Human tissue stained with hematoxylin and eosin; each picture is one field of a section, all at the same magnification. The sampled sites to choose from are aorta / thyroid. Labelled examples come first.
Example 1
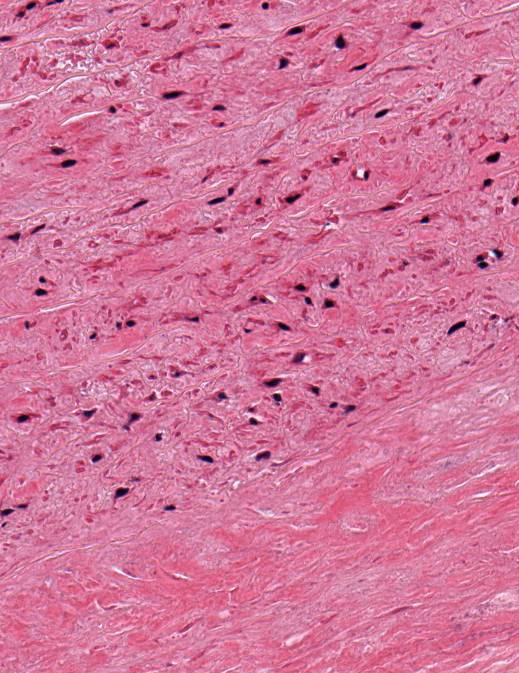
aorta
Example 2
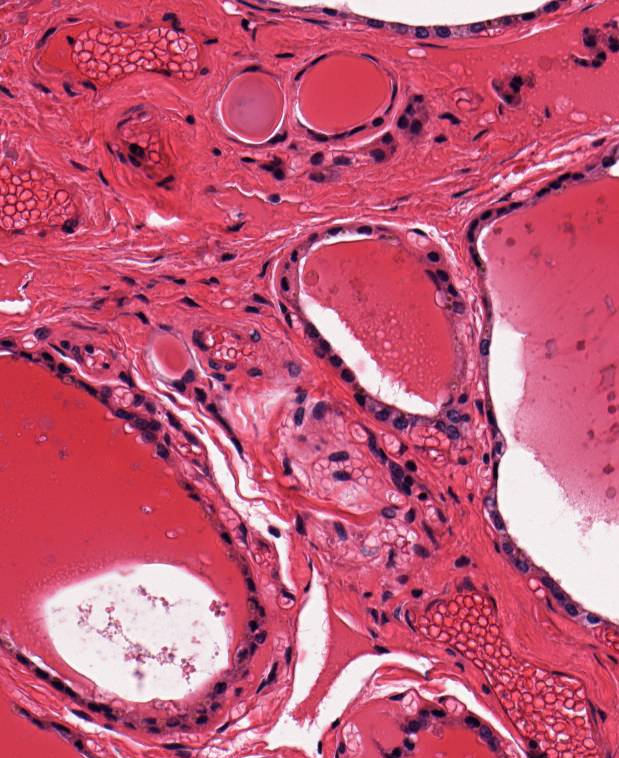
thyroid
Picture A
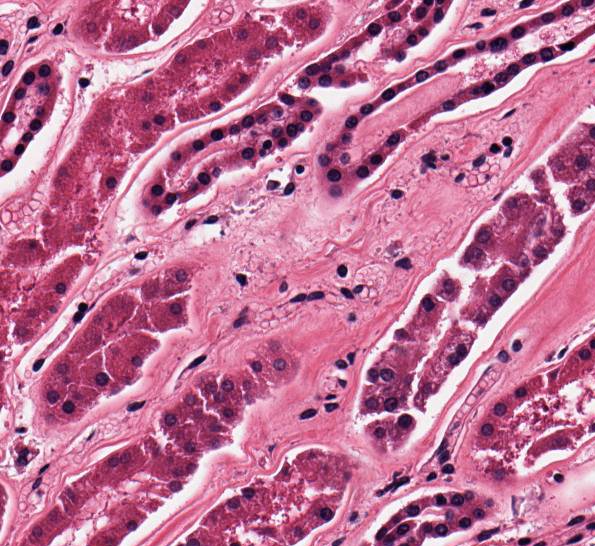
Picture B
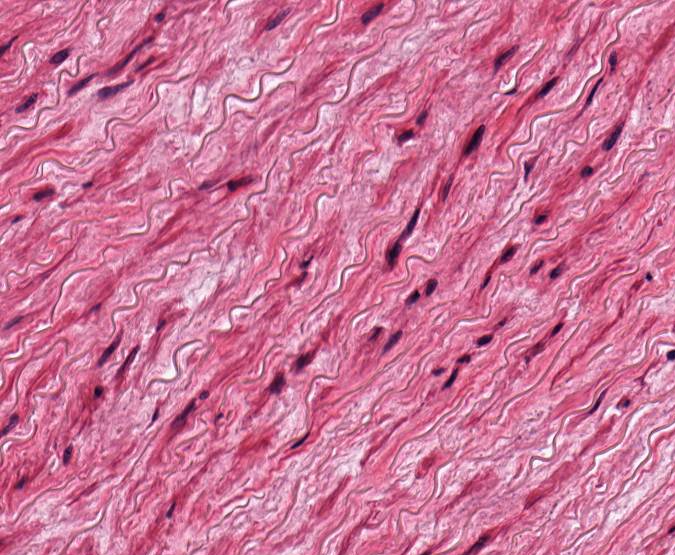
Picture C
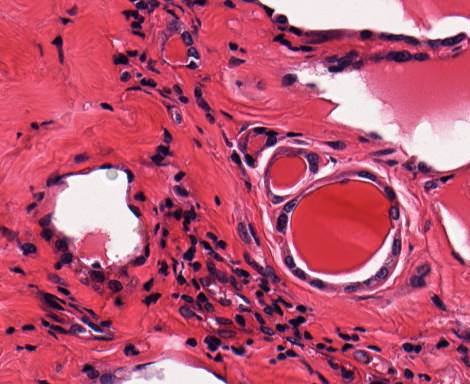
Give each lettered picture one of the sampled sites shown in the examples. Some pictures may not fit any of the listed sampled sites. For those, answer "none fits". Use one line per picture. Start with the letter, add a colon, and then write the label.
A: none fits
B: aorta
C: thyroid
